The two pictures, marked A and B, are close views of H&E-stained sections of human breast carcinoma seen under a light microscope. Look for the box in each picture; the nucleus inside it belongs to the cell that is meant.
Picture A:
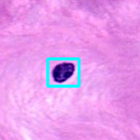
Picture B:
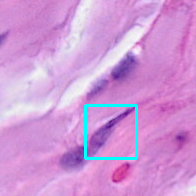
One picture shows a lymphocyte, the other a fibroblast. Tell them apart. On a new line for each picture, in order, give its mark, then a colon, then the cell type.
A: lymphocyte
B: fibroblast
